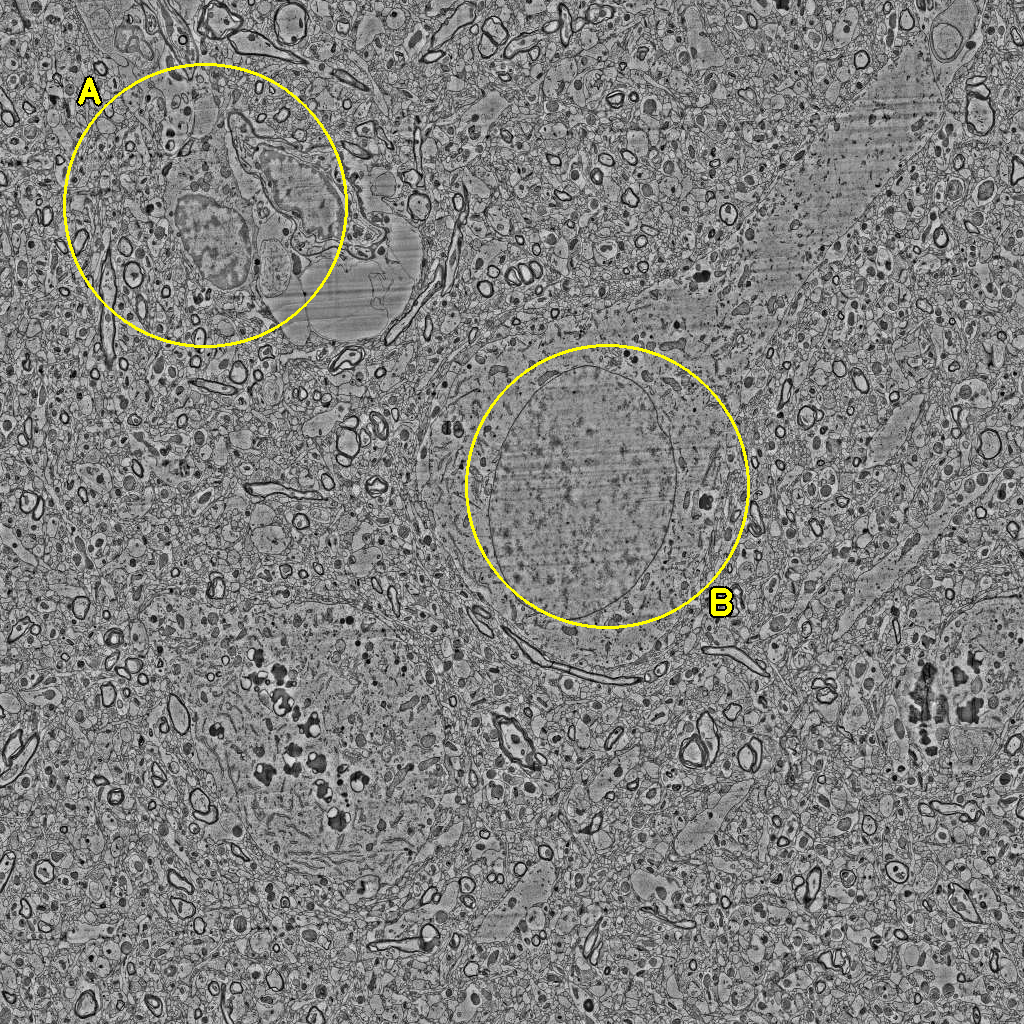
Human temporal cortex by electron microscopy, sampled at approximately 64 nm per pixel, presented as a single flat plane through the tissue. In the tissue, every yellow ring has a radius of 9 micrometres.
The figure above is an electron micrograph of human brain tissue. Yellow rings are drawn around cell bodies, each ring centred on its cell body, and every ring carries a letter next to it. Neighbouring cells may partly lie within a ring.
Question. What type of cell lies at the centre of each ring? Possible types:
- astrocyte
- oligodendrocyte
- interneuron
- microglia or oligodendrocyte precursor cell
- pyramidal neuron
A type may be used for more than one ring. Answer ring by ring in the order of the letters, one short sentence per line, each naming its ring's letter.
In ring A, the central cell is an oligodendrocyte.
In ring B, the central cell is a pyramidal neuron.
